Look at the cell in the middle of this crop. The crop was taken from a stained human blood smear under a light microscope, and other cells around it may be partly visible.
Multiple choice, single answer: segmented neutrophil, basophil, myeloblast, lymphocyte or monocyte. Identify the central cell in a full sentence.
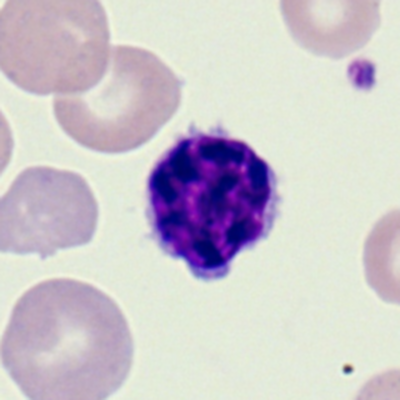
The central cell shown in this smear crop is a lymphocyte.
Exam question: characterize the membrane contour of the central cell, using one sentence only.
Irregularity marks the cell border, whether as raggedness or as projections.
